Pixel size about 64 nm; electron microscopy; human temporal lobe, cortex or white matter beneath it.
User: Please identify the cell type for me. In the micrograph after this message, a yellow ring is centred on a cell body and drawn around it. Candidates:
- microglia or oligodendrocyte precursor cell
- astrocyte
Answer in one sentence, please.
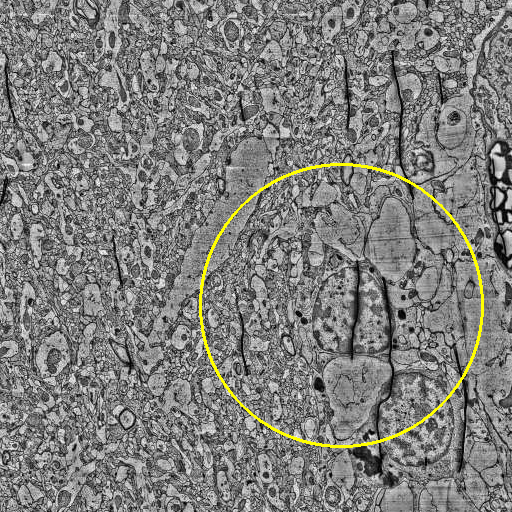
The ring is drawn around the cell body of a microglial cell or oligodendrocyte precursor cell.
